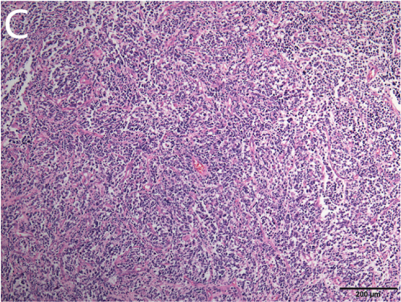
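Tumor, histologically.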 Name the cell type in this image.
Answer: Poorly differentiated/undifferentiated cells.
